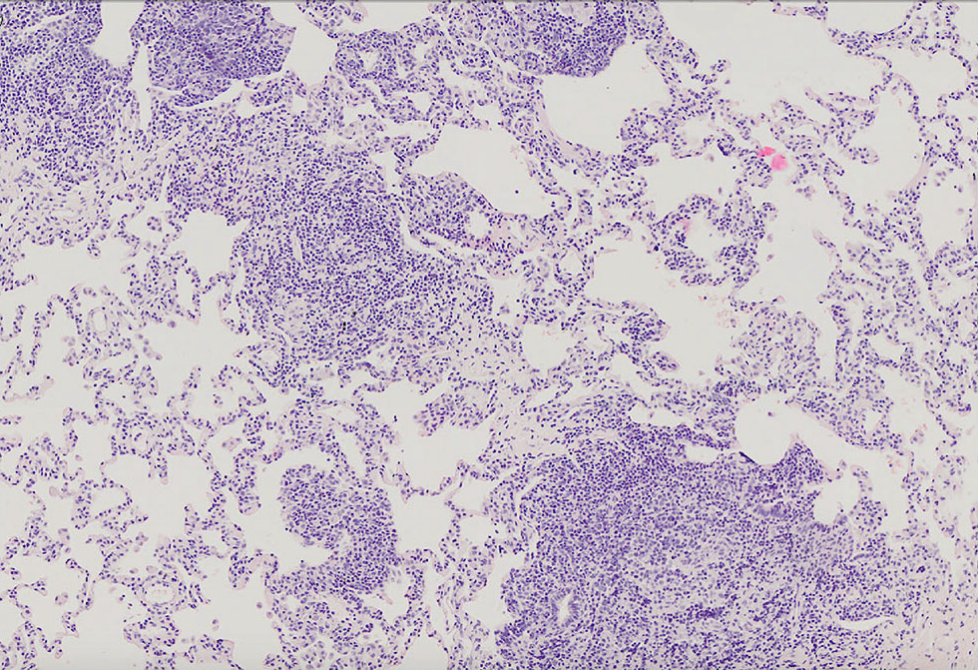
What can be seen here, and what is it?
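Lung tissue with many open, thin-walled air spaces separated by septa, broken up by large, dense patches packed with small round cells that have dark-blue nuclei and scant cytoplasm. The septa between the air spaces are thickened and crowded with nuclei, and the densest clusters lie around small airway lumens. This pattern shows a widespread lymphocytic infiltration of the interstitium and of the tissue around the bronchioles.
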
